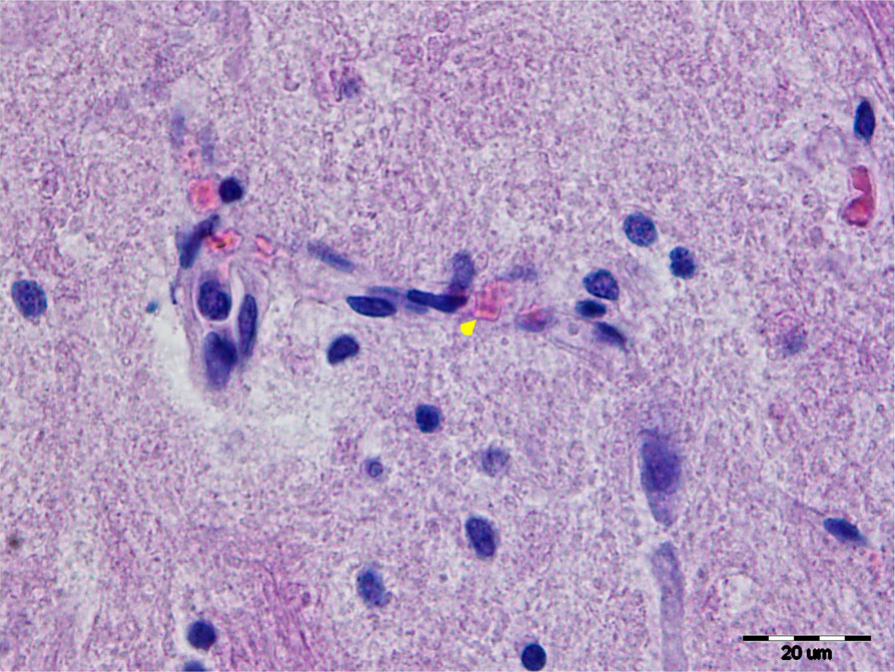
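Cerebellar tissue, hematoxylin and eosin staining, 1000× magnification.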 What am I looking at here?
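At the left the vessel widens near a cluster of larger rounded nuclei. The background is a finely granular pink-purple neuropil. Scattered through it are round and oval dark nuclei of various sizes. At lower right there is a larger, paler cell body with a tapering process.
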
